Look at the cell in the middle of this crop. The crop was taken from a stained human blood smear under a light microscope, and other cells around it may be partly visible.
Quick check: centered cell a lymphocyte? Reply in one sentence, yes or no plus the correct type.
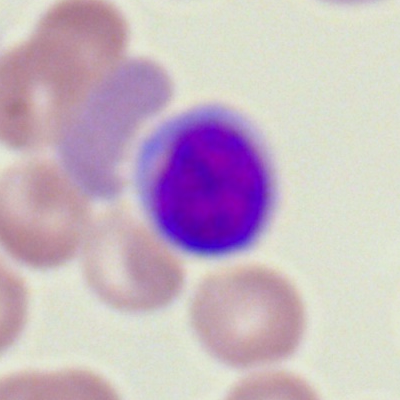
Yes, the cell at the middle of the field is to be classed as a lymphocyte.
